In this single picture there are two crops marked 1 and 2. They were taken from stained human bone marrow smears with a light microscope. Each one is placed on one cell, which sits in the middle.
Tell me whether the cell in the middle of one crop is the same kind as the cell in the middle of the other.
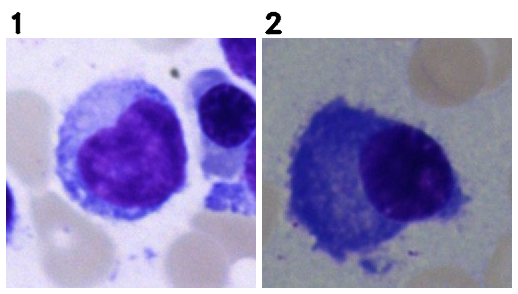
no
